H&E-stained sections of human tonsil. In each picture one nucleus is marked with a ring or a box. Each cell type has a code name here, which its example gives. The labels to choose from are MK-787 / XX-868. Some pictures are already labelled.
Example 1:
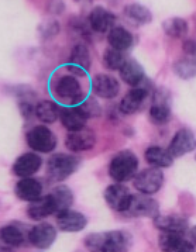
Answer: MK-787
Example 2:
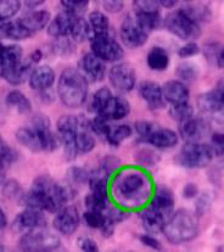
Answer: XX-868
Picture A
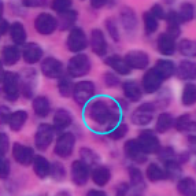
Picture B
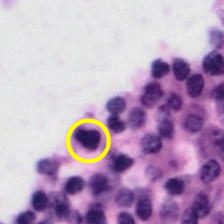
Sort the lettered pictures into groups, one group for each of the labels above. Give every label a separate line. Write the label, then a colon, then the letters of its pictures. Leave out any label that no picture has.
MK-787: A
XX-868: B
